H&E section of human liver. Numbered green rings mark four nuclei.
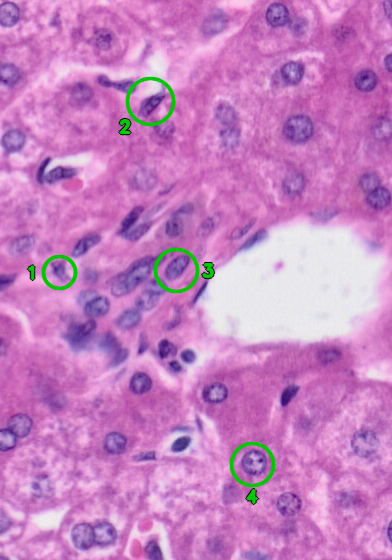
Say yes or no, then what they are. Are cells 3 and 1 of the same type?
No, cell 3 is a cholangiocyte and cell 1 is a fibroblast or stellate cell.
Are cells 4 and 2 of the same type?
No, cell 4 is a hepatocyte and cell 2 is a fibroblast or stellate cell.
